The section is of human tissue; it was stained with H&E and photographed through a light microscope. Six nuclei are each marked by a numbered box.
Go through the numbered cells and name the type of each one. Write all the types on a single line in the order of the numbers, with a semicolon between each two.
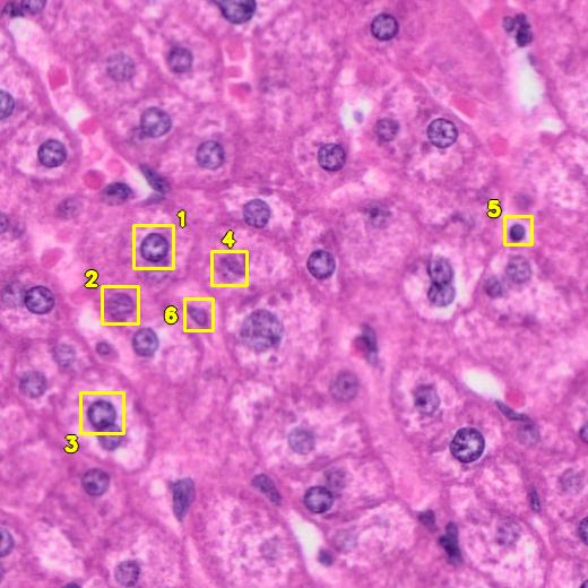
hepatocyte; hepatocyte; hepatocyte; hepatocyte; lymphocyte; Kupffer cell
